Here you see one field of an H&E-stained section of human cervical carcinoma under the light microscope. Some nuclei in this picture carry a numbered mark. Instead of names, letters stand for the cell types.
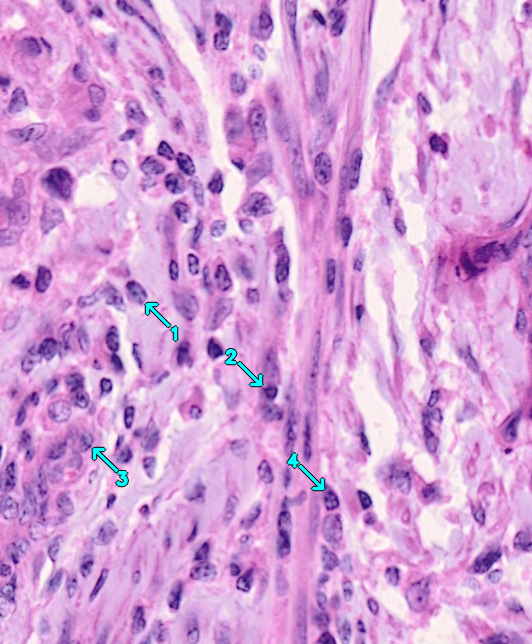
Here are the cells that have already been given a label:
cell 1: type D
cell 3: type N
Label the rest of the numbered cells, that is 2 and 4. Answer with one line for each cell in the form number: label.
2: type D
4: type D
